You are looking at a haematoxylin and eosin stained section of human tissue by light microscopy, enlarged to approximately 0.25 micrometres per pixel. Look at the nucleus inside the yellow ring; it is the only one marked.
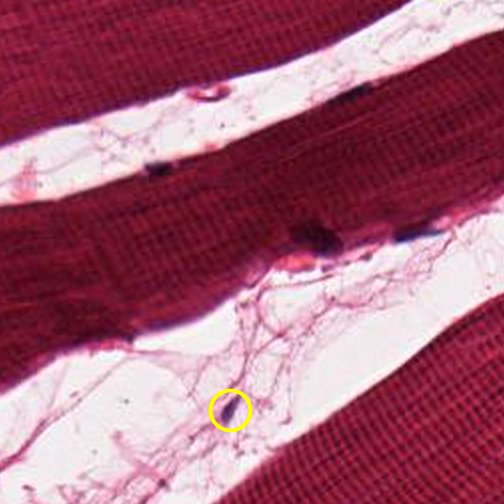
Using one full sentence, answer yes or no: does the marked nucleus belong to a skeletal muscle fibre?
No, the cell whose nucleus is marked is a supporting cell and not a skeletal muscle fibre.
